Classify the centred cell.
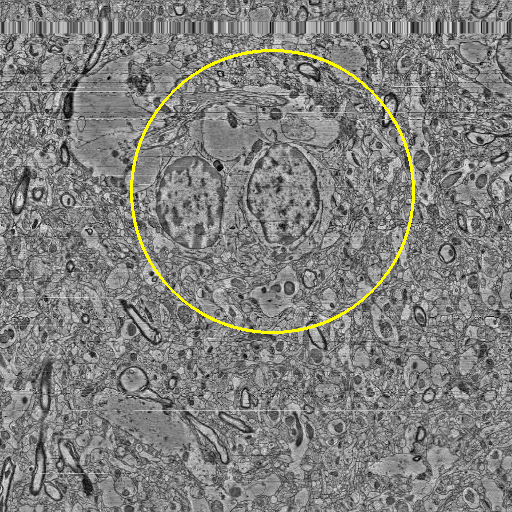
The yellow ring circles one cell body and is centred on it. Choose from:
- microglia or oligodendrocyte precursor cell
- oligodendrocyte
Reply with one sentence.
The ring is centred on a microglial cell or oligodendrocyte precursor cell.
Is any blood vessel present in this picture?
Yes, a blood vessel is present in this picture.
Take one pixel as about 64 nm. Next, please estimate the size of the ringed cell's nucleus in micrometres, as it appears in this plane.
Roughly 6 by 5 micrometres in this plane, for the nucleus of the ringed cell.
